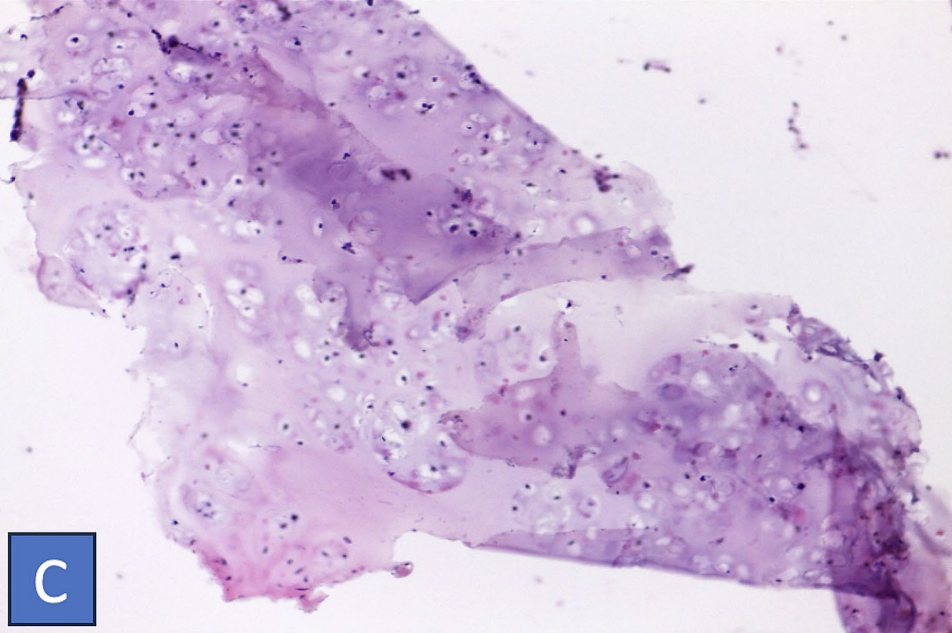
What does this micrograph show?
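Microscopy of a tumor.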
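This is hyaline cartilage, a pale, glassy pink-to-lilac matrix with chondrocytes scattered through it. The chondrocytes sit in clear, rounded lacunae, each with a small dark nucleus, and some lacunae hold two or more cells. In places the matrix takes a deeper purple tint, and the fragment has an irregular, somewhat lobulated outline.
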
